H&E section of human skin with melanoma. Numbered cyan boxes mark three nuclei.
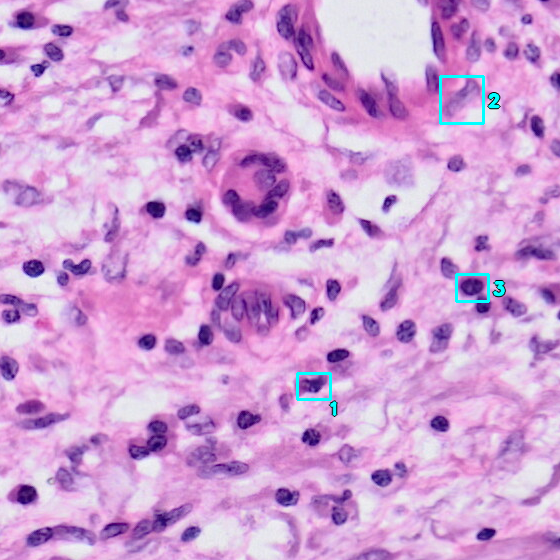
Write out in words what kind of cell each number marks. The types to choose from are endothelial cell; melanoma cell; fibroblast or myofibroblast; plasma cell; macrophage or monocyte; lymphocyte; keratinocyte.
Cell 1 is a plasma cell, cell 2 is a fibroblast or myofibroblast and cell 3 is a plasma cell.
